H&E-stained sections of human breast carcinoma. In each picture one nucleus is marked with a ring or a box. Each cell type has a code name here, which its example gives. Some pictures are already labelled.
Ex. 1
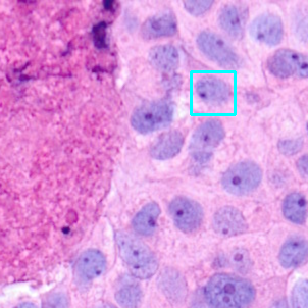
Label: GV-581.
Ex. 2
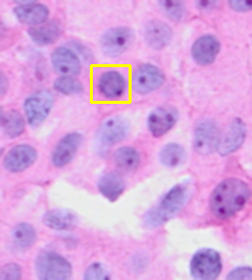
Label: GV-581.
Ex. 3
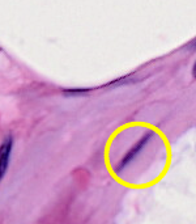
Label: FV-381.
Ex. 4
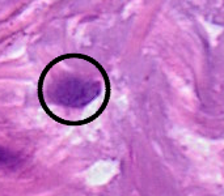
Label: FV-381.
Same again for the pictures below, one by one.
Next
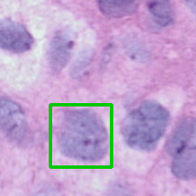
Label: GV-581.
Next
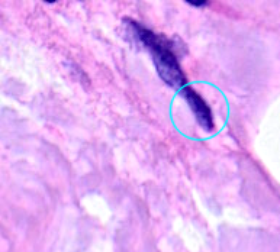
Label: FV-381.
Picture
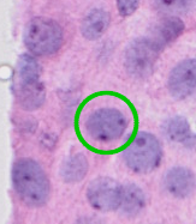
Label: GV-581.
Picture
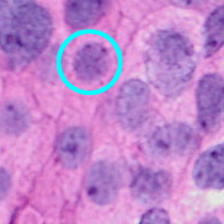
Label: GV-581.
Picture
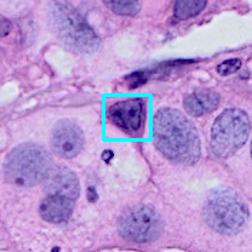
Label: GV-581.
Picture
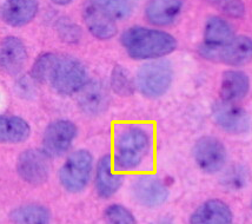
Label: GV-581.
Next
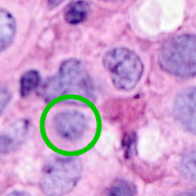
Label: GV-581.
